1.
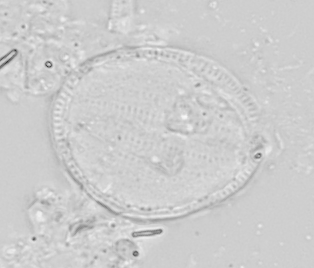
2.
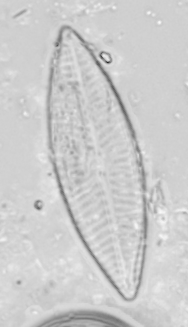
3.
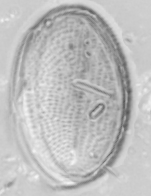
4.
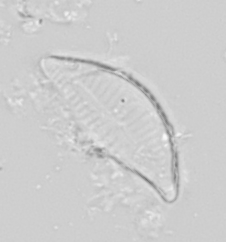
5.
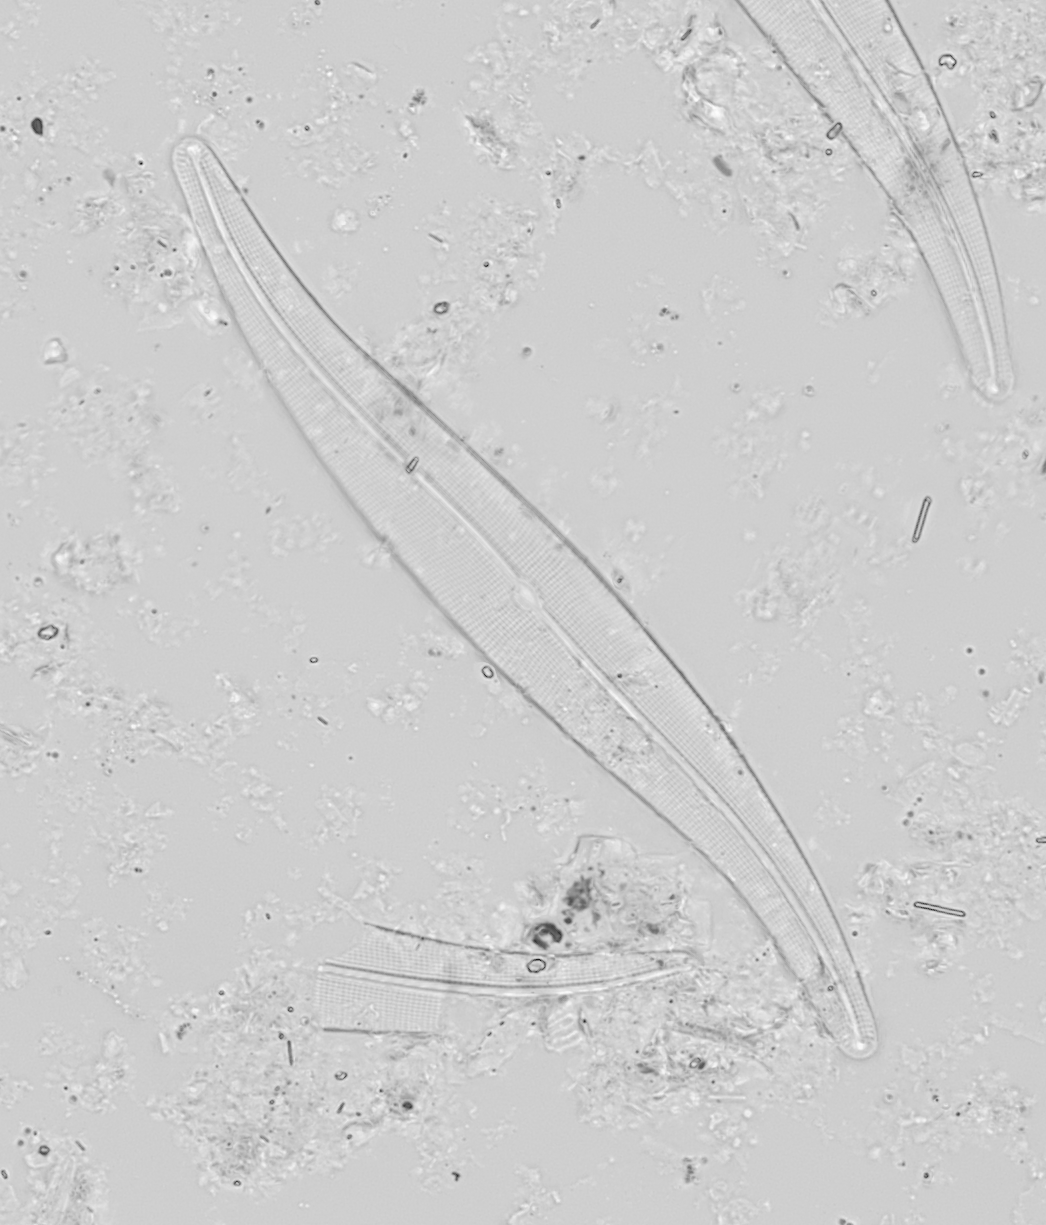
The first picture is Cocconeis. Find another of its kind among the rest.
Picture 3.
